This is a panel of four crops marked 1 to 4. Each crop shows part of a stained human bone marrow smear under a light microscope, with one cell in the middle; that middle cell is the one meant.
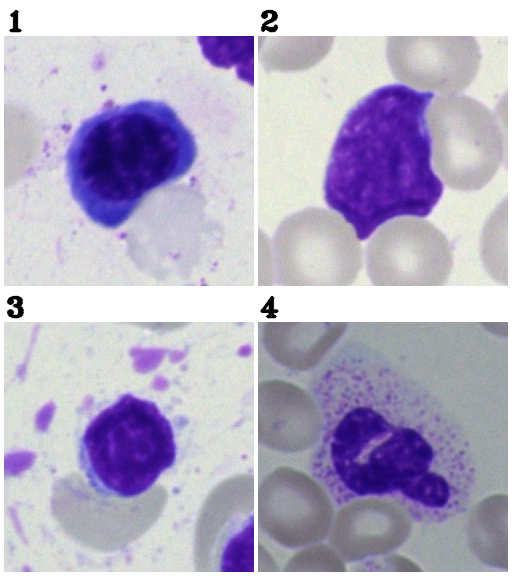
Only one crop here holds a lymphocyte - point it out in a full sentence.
Among the crops given, only crop 3 shows a lymphocyte.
